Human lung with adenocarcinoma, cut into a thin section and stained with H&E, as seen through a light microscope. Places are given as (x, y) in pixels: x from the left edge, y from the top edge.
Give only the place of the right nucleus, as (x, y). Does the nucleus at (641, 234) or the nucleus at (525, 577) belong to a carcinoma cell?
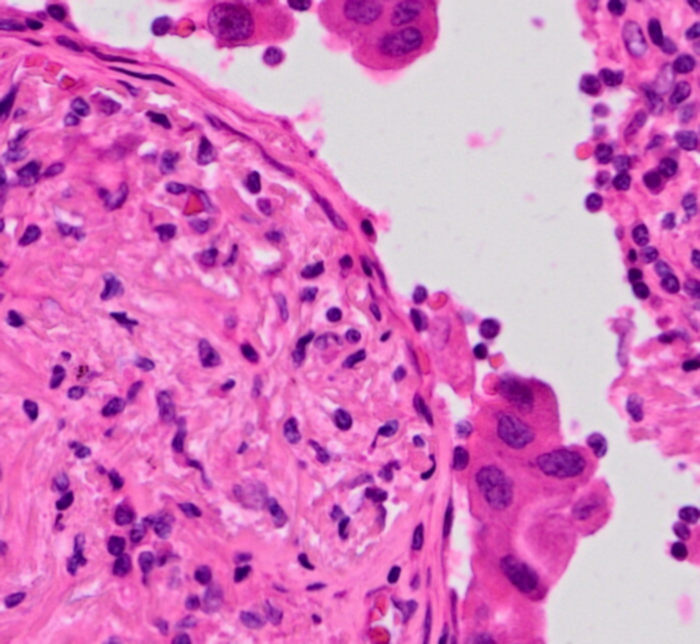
(525, 577)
